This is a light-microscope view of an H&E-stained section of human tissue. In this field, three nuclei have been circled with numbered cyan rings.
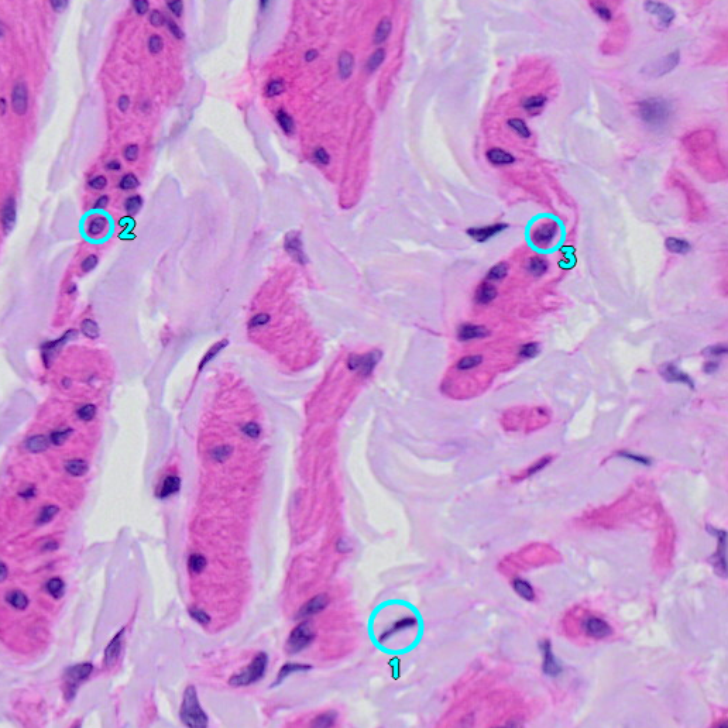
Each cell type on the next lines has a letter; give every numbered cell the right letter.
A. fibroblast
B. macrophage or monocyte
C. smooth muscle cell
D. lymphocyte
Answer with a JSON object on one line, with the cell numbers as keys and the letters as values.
{"1": "A", "2": "C", "3": "C"}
